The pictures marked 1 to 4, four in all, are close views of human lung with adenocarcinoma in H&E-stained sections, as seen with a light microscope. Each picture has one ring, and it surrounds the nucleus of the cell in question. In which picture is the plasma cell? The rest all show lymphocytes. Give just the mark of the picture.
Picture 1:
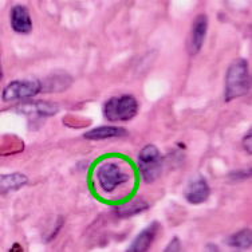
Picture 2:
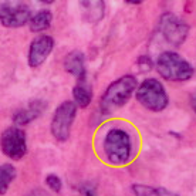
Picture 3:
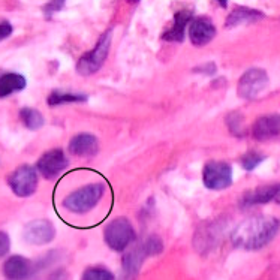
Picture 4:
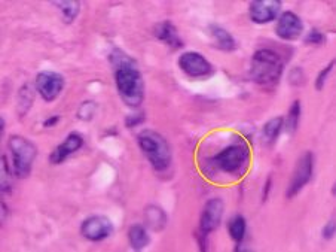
4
